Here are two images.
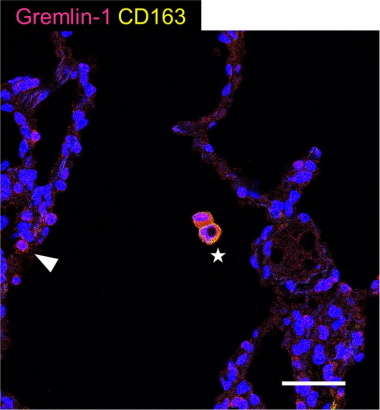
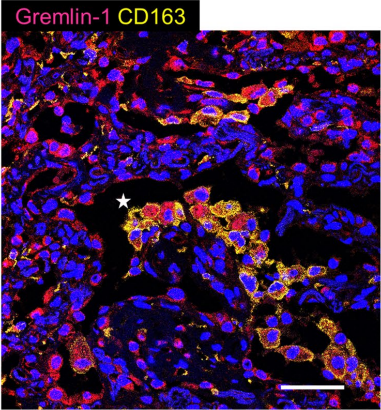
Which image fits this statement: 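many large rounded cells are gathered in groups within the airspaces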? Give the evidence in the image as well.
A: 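Second image: clusters of many rounded yellow-orange cells fill parts of the airspaces.
Conclusion: the second image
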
